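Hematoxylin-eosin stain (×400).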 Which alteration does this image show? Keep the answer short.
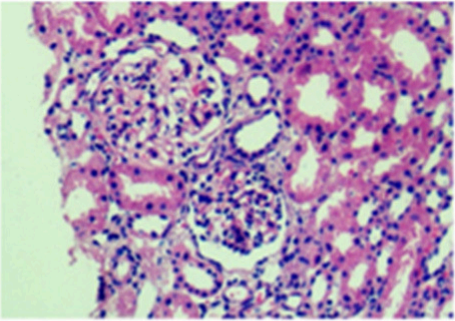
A: Mesangial cells (2–4 mesangial area) proliferation.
